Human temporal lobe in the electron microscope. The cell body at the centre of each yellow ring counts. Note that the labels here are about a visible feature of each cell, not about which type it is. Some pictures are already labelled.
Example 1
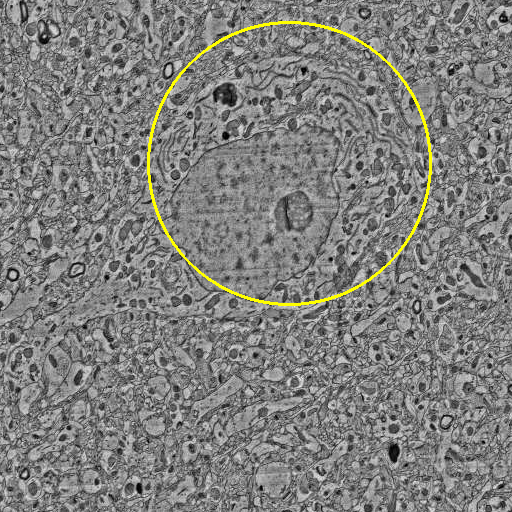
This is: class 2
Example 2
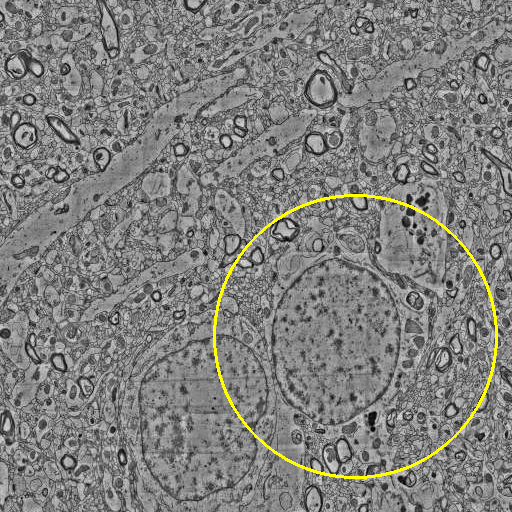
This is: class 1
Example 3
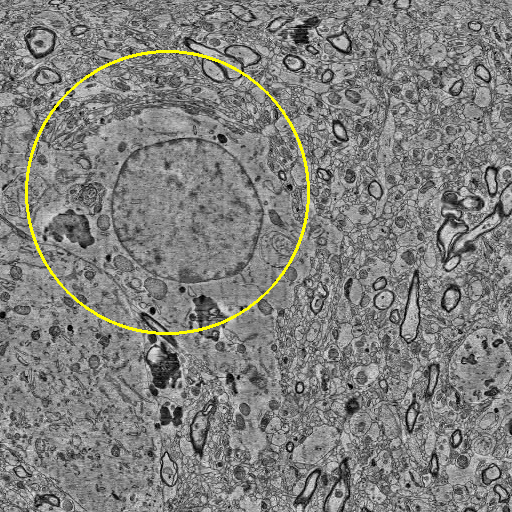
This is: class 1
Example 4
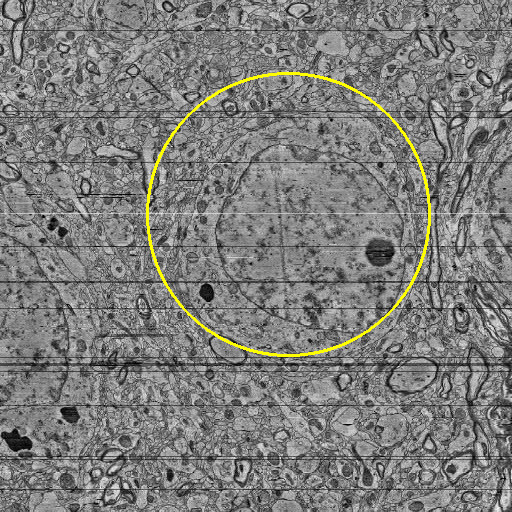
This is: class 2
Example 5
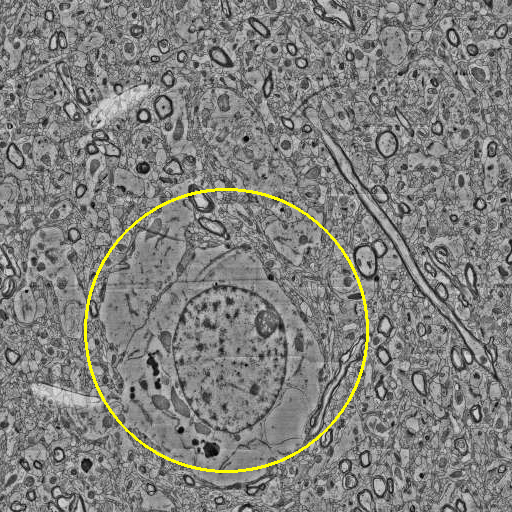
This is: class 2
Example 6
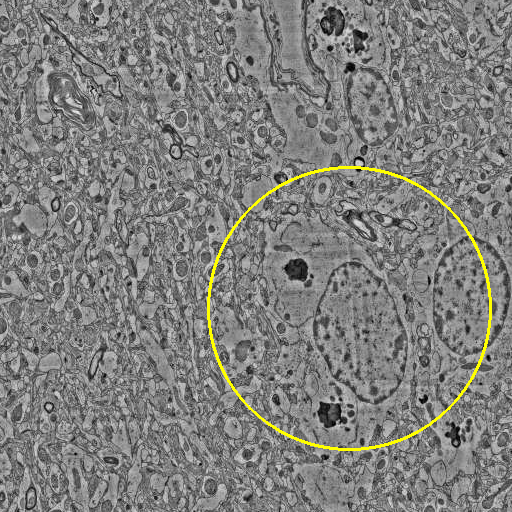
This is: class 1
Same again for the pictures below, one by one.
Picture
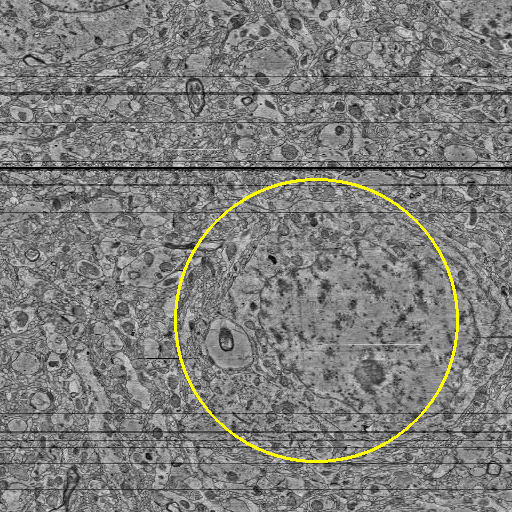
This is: class 2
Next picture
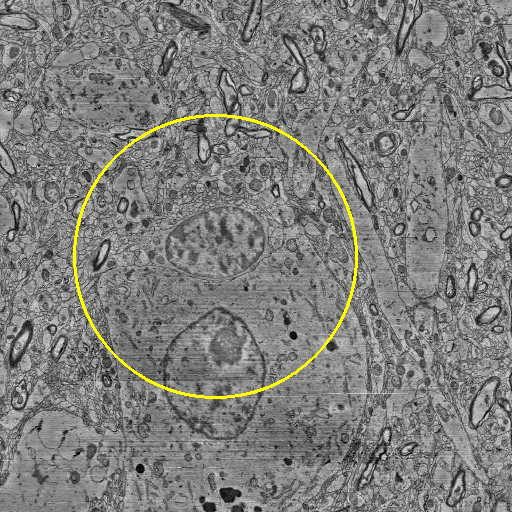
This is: class 1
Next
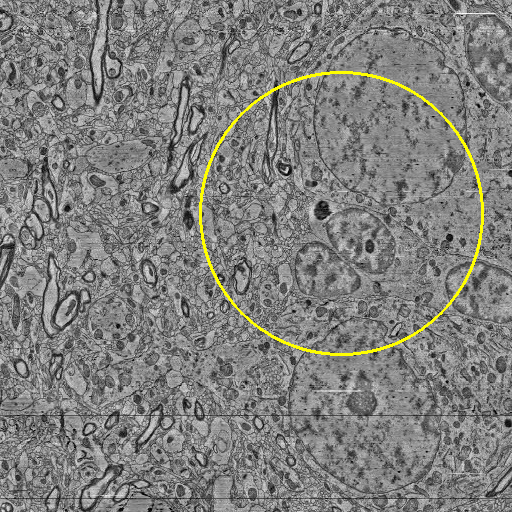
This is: class 2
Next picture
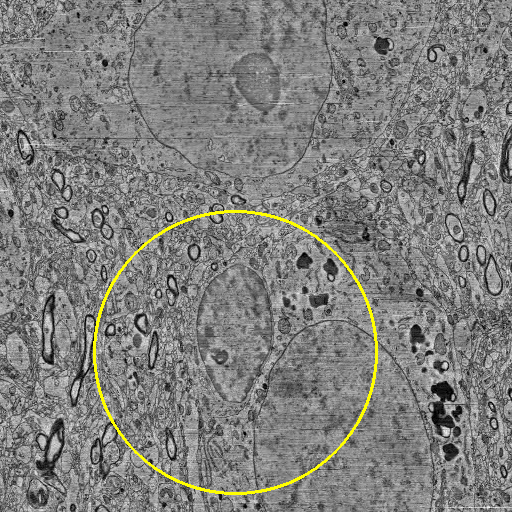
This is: class 2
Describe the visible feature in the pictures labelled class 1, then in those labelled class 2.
class 1: no nucleolus seen; class 2: nucleolus seen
